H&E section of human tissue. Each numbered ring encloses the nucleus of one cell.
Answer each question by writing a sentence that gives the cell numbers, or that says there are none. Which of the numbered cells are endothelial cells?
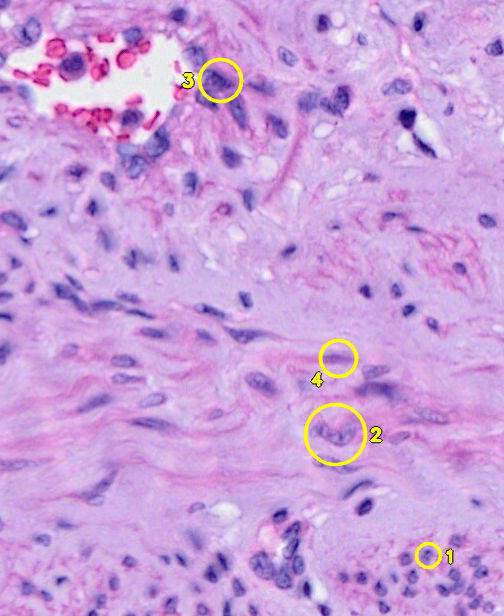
Exactly one of the numbered cells is an endothelial cell, namely cell 3.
